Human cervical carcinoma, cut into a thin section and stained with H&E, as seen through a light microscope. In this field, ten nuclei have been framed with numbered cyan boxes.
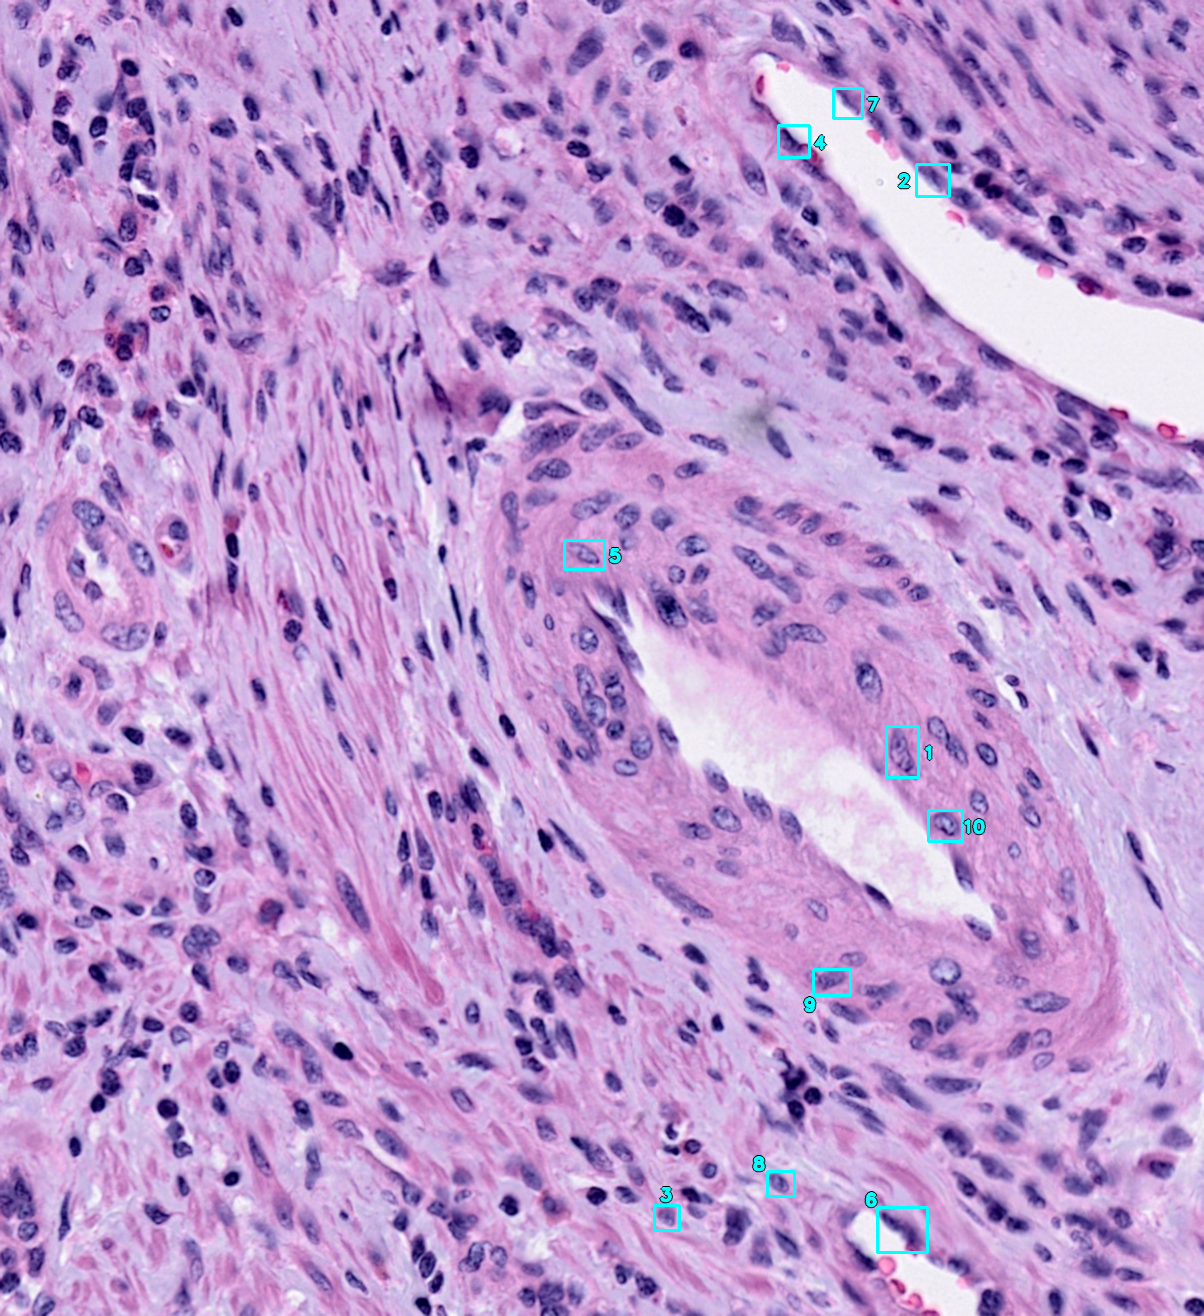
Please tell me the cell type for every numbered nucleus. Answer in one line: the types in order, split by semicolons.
smooth muscle cell; endothelial cell; smooth muscle cell; endothelial cell; smooth muscle cell; endothelial cell; endothelial cell; smooth muscle cell; smooth muscle cell; smooth muscle cell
